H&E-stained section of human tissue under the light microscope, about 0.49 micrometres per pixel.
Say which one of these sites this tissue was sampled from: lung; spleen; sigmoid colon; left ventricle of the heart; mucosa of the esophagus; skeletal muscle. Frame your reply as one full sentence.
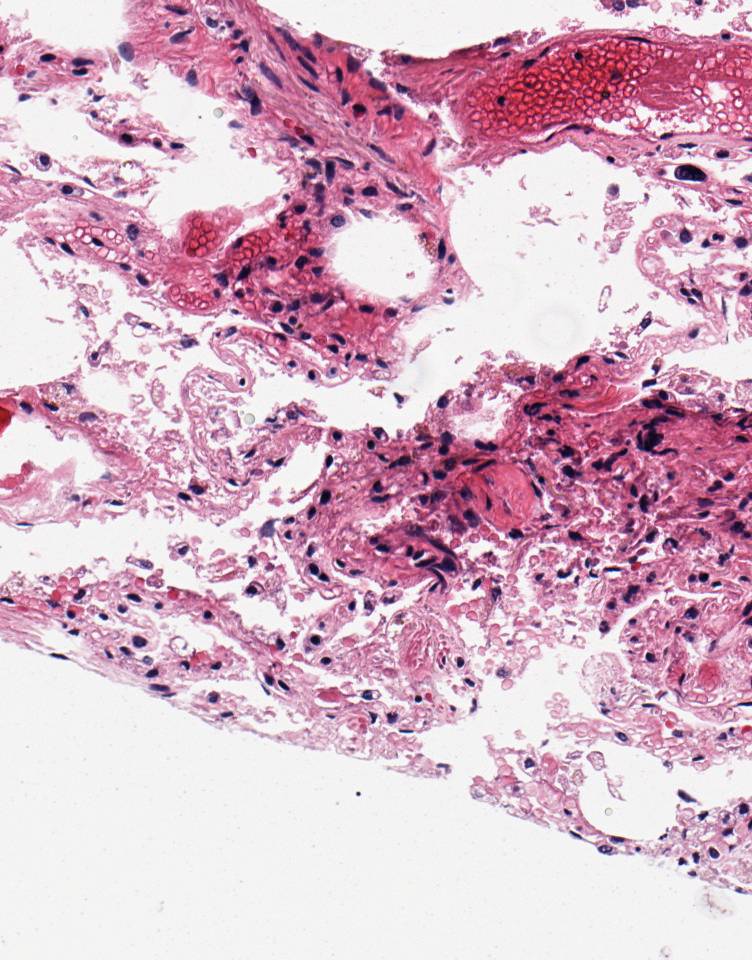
It is from the lung that this section was cut.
